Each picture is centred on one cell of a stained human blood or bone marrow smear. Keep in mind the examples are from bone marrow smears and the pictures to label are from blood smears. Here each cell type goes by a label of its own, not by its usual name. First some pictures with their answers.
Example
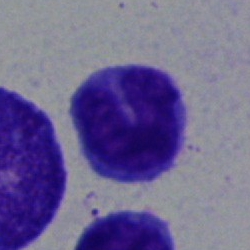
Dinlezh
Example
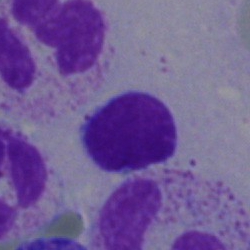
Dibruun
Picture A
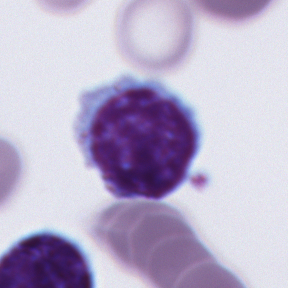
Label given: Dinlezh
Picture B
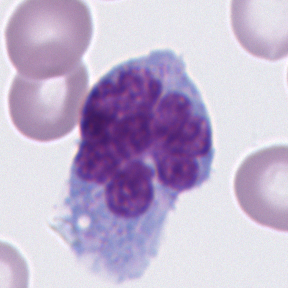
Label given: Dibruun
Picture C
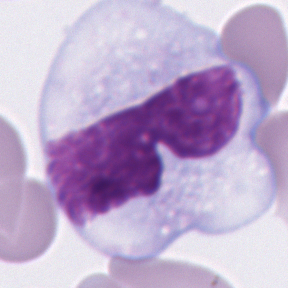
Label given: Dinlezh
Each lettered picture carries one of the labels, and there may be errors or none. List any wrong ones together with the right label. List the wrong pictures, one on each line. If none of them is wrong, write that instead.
A should be Dibruun, not Dinlezh
B should be Dinlezh, not Dibruun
